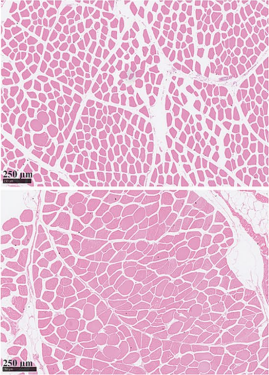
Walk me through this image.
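These are transverse sections of skeletal muscle, showing the muscle fibers cut across. Each fiber appears as a pink, polygonal profile with straight or gently curved sides, pressed closely against its neighbours. Narrow pale clefts lie between the fibers. The fibers are gathered into bundles, and these are separated by broader white bands of connective tissue that branch across the field. Fiber size varies within each bundle, with small angular profiles lying among larger ones. In the lower image the fiber profiles look larger overall than in the upper one.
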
